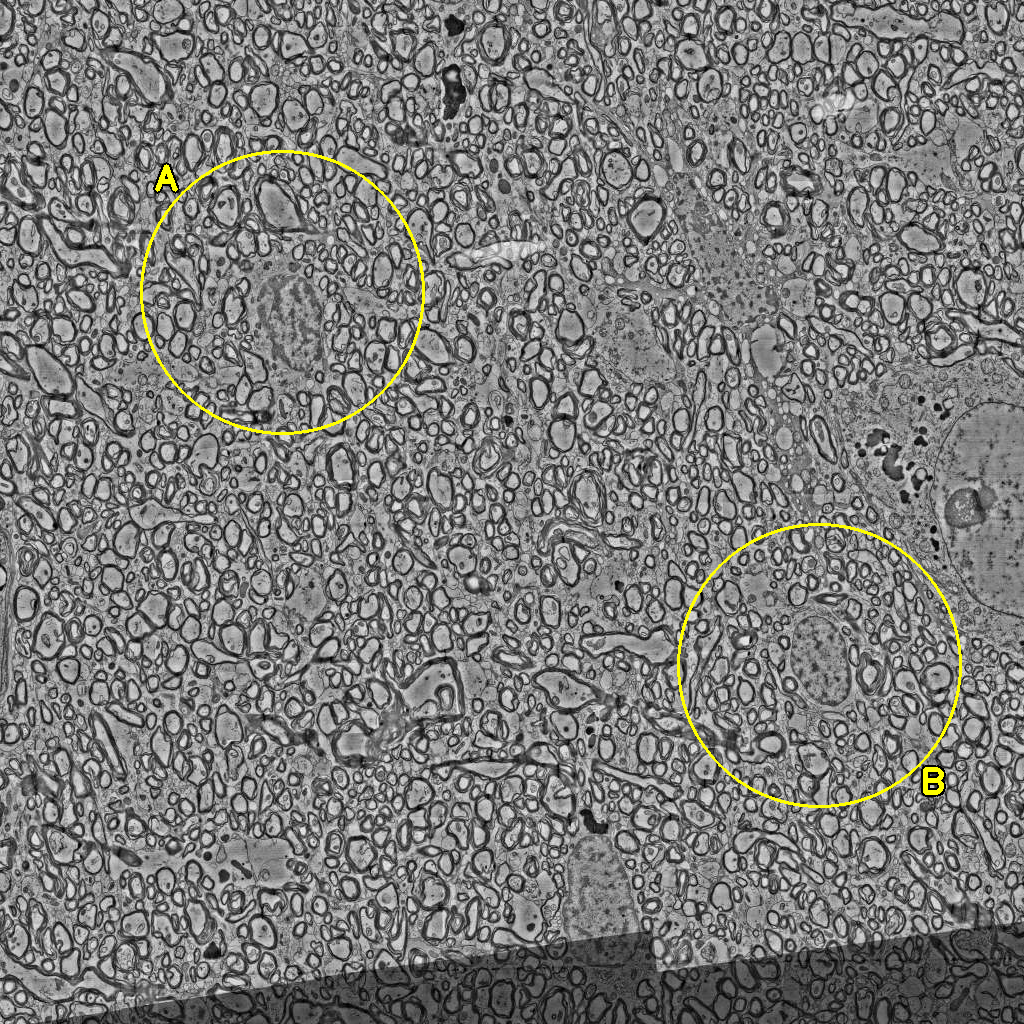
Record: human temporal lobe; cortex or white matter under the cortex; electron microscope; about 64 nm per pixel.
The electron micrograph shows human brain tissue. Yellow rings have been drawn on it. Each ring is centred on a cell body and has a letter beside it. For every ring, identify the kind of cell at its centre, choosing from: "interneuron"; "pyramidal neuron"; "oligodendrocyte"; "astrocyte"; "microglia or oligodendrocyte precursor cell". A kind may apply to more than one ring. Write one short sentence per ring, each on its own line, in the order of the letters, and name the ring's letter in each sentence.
Ring A is centred on an oligodendrocyte.
Ring B is centred on a microglial cell or oligodendrocyte precursor cell.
